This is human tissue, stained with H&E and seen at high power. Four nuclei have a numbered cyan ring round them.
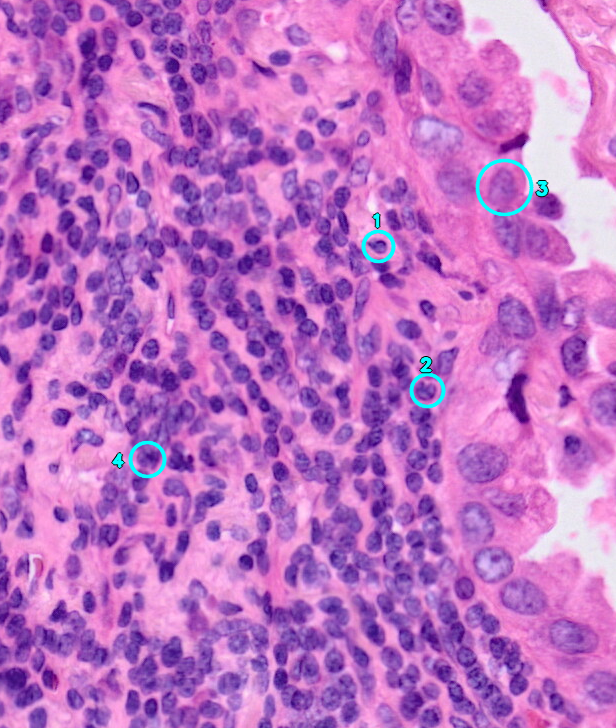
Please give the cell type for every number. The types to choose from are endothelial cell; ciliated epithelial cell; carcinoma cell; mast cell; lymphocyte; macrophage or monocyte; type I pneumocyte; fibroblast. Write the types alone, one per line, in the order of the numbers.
lymphocyte
lymphocyte
carcinoma cell
lymphocyte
